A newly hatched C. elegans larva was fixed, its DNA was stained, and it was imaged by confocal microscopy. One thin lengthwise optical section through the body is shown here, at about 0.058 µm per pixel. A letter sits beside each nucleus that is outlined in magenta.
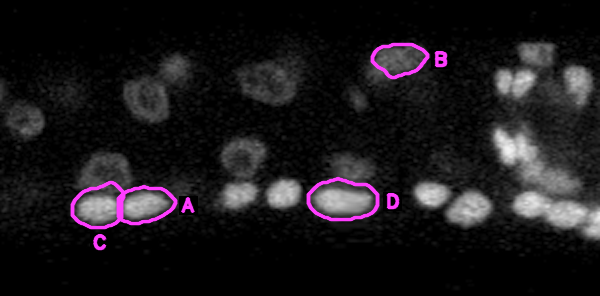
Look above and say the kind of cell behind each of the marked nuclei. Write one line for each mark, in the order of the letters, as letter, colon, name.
A: neuron
B: body wall muscle cell
C: neuron
D: neuron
